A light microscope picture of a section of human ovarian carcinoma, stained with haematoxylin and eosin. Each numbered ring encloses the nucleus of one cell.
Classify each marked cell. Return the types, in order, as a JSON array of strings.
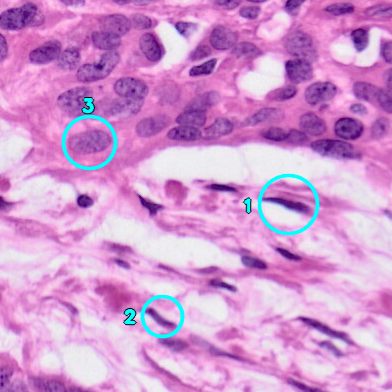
["fibroblast", "fibroblast", "carcinoma cell"]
